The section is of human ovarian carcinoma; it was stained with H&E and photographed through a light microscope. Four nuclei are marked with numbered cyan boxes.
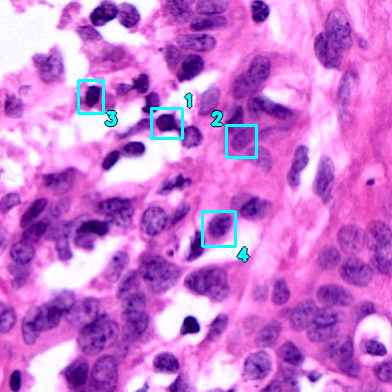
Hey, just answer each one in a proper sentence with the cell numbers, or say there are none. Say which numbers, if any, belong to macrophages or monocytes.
Only nucleus 3 belongs to a macrophage or monocyte; the other numbered nuclei do not.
